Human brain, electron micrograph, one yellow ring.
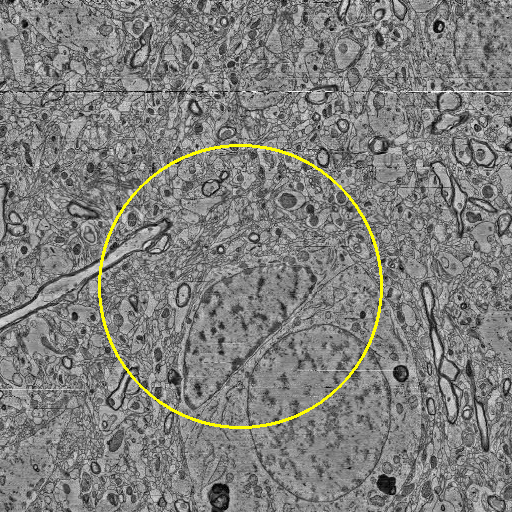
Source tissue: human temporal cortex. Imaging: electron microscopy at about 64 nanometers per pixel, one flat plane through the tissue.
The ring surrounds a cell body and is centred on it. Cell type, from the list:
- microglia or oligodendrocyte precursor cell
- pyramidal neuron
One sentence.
The yellow ring circles a microglial cell or oligodendrocyte precursor cell.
